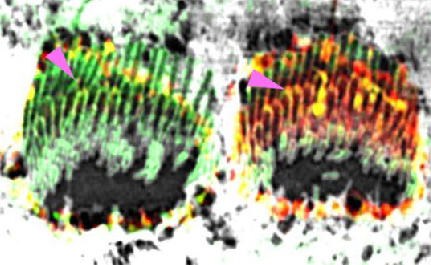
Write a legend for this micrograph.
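Apical surfaces of two inner hair cells, each with a stereocilia bundle of many parallel rod-like projections arranged in rows. Small red-orange puncta rim the lower margin of each apical surface. A dark, unlabelled region lies below the bundle at the centre of each cell apex. The surrounding tissue appears pale and granular in the grey channel.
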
